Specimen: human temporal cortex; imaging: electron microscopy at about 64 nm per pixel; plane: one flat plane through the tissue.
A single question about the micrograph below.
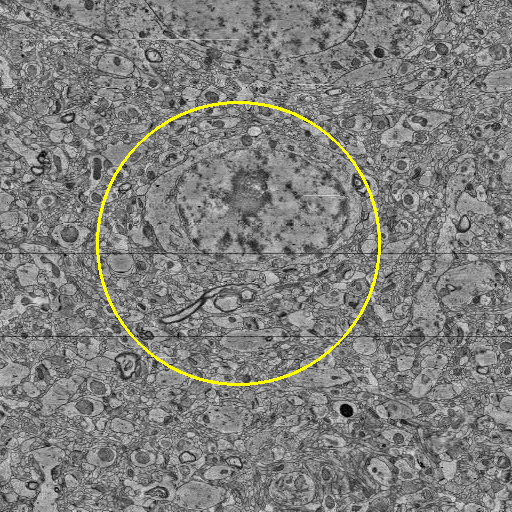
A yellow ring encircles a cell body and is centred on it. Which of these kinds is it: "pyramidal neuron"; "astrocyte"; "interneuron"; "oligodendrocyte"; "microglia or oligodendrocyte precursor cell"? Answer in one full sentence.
The cell body at the centre of the yellow ring belongs to an interneuron.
